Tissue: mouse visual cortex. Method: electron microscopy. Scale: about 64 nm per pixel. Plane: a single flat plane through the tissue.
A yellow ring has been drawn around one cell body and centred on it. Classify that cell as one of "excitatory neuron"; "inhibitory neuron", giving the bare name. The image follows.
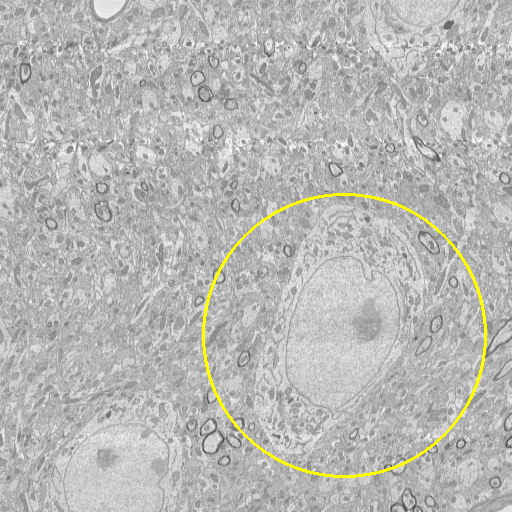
inhibitory neuron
